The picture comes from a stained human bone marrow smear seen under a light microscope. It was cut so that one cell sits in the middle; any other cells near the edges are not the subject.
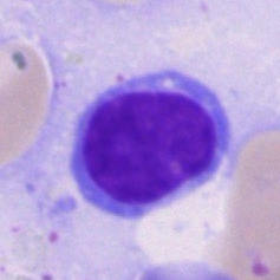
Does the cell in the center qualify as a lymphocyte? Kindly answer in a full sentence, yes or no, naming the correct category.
Yes, the cell lying in the centre of the crop is identified as a lymphocyte.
